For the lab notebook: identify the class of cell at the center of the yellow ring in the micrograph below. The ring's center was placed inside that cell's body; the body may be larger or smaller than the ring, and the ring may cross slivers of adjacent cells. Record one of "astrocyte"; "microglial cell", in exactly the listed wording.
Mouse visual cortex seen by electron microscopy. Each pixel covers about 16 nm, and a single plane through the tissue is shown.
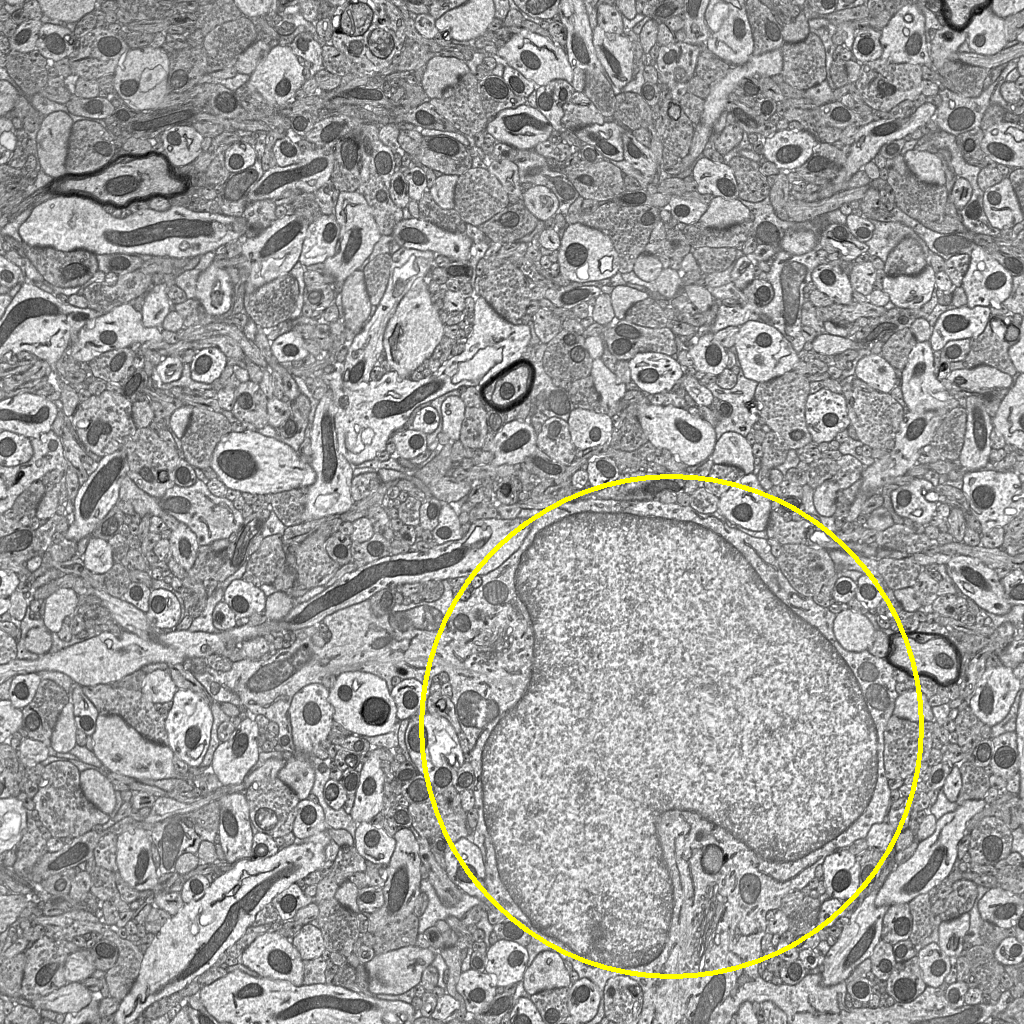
astrocyte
